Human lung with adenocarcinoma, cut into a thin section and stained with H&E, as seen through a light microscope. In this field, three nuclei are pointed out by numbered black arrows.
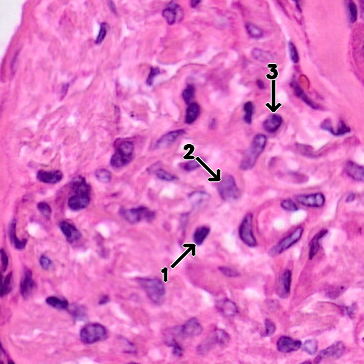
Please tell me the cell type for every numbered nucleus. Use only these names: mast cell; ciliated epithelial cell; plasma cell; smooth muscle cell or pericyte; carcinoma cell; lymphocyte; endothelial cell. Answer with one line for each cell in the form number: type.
1: lymphocyte
2: mast cell
3: plasma cell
